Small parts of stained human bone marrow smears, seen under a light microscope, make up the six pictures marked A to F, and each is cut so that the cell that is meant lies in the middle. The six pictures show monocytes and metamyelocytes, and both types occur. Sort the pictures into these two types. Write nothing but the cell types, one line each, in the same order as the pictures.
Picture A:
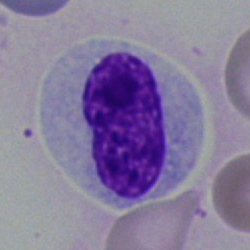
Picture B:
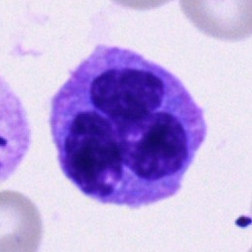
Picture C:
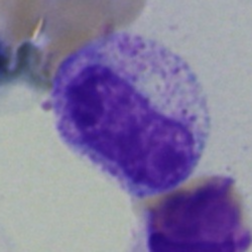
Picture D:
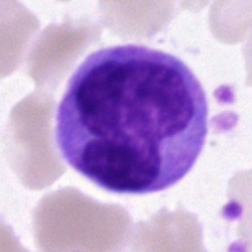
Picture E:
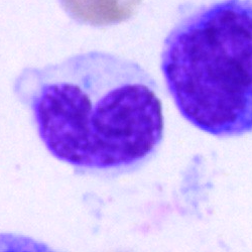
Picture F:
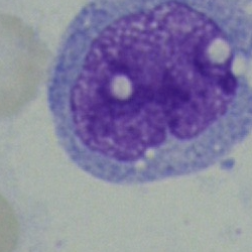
metamyelocyte
monocyte
metamyelocyte
monocyte
metamyelocyte
monocyte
